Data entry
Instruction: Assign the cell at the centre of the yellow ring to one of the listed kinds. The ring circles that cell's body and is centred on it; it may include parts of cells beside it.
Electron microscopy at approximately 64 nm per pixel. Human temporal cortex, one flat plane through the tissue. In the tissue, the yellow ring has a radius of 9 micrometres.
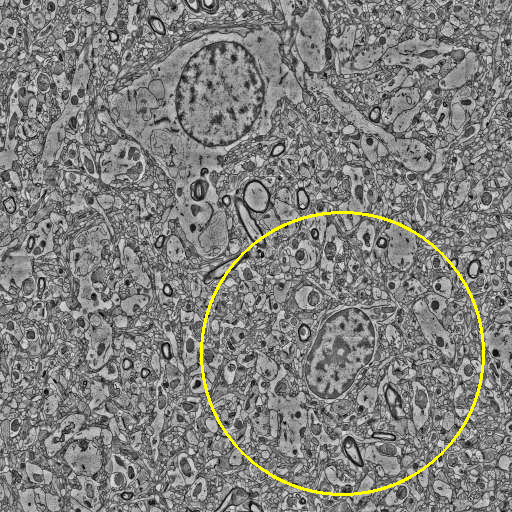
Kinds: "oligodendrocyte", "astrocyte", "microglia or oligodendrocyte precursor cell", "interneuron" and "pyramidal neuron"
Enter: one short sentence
The centre of the ring falls on a microglial cell or oligodendrocyte precursor cell.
